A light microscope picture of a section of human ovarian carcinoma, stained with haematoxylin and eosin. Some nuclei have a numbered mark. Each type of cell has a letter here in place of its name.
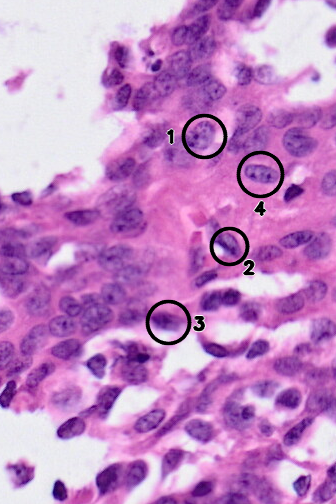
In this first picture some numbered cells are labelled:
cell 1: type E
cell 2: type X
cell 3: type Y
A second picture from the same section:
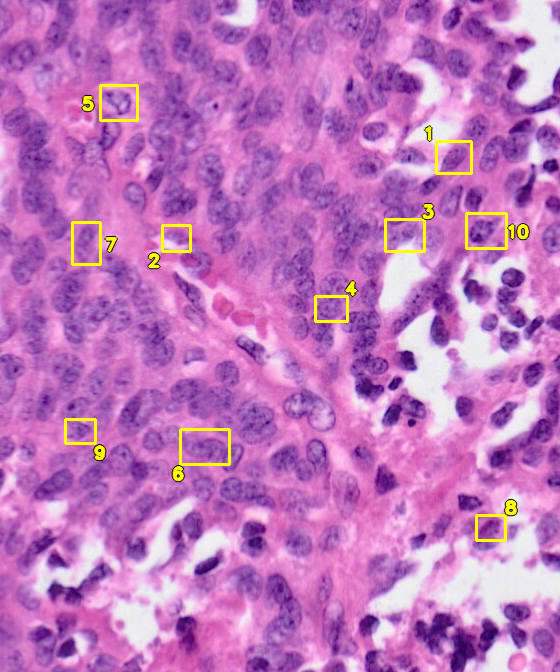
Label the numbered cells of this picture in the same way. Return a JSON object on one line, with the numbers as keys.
{"1": "type Y", "2": "type X", "3": "type Y", "4": "type Y", "5": "type E", "6": "type Y", "7": "type Y", "8": "type E", "9": "type E", "10": "type E"}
